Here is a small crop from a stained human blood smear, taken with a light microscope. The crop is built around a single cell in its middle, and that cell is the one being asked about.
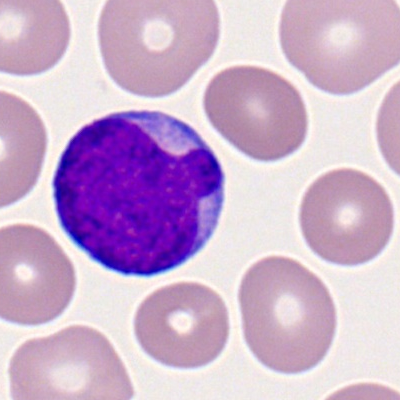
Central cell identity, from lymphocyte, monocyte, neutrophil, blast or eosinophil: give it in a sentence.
Where the crop is centred, there is a blast.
